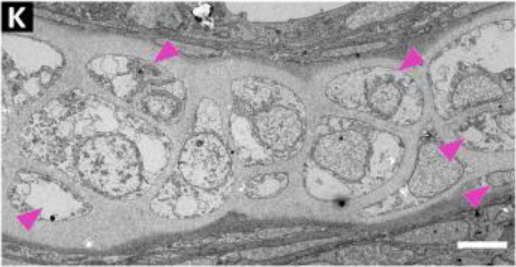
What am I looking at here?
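A transmission electron micrograph of cartilage with a band of chondrocytes lying in grey, finely textured matrix, bounded above and below by thin, elongated flattened cells. The chondrocytes are rounded to irregular, with large nuclei with scattered chromatin. Their cytoplasm is full of pale, clear vacuole-like spaces. The cells are not lined up in a single orderly row: several sit at the edges of the band, out of line with their neighbours, and they differ in size and shape. Pink arrowheads mark such peripheral, misaligned cells. The picture is of cartilage whose cells are poorly stacked and heavily vesiculated.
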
